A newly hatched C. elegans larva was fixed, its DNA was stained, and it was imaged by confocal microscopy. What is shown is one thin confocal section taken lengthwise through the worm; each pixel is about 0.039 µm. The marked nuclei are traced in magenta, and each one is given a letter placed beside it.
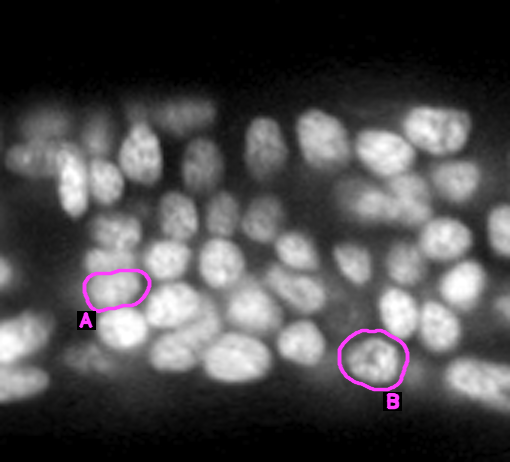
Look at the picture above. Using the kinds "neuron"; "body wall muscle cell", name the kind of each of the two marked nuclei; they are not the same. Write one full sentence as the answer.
A belongs to a neuron and B to a body wall muscle cell.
